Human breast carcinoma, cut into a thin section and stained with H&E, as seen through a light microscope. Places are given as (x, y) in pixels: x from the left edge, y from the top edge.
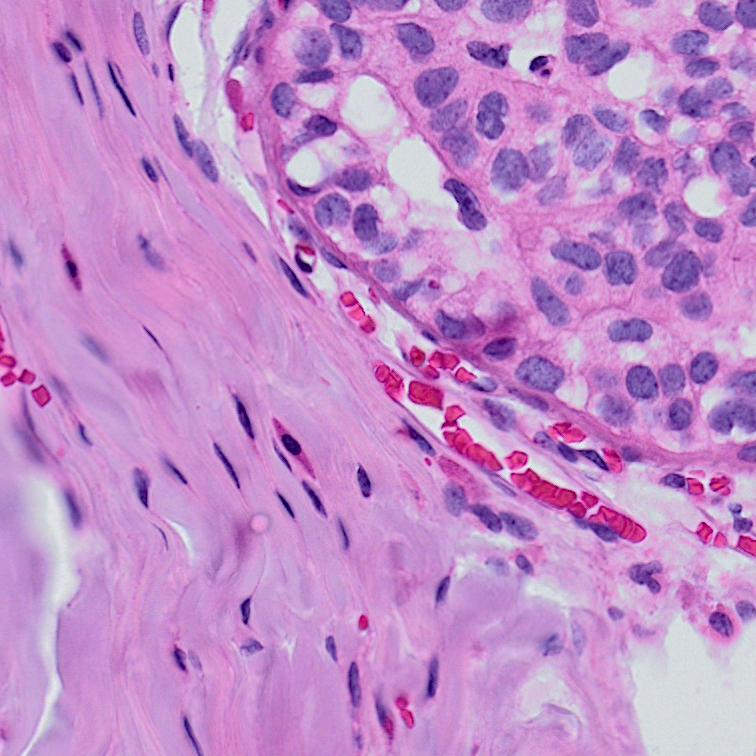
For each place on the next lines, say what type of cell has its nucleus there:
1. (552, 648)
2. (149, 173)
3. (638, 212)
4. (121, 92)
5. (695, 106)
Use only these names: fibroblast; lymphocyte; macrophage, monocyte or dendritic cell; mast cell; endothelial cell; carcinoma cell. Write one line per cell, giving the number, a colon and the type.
1: fibroblast
2: fibroblast
3: carcinoma cell
4: fibroblast
5: carcinoma cell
